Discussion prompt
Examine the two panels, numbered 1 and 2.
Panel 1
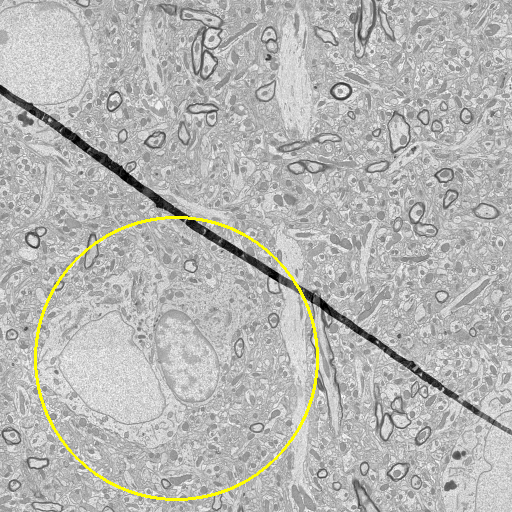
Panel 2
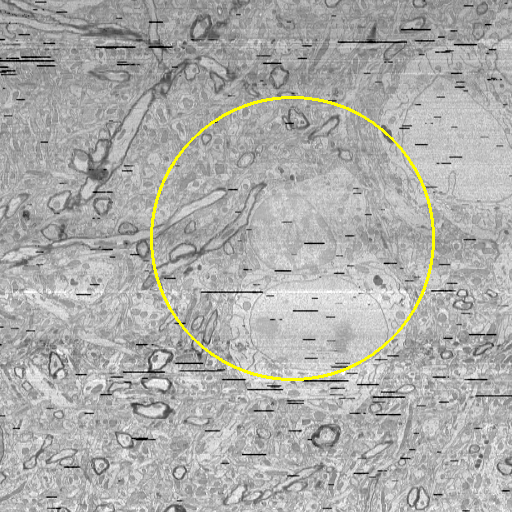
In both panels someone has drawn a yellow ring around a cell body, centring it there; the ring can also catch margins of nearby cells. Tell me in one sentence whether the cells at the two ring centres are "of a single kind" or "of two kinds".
Taken together, the two cells centred in the rings of Panels 1 and 2 are of a single kind.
